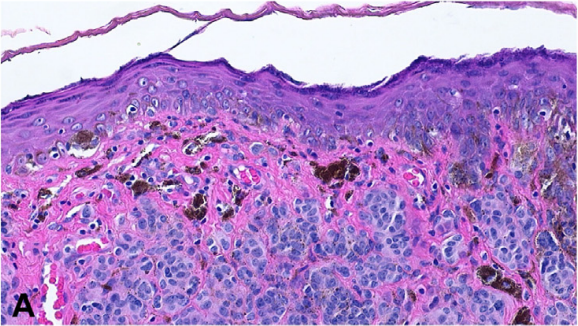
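Skin with a stratified squamous epidermis overlying nests of melanocytes in the dermis. The surface keratin layer is compact and has lifted away from the epidermis at the top. Beneath the epidermis, rounded nests of cells with oval, evenly sized nuclei and pale purple cytoplasm fill the dermis. The nests are separated by strands of pink collagen and small vessels containing red cells. Dark brown pigment clumps lie scattered between the nests and in the upper dermis.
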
